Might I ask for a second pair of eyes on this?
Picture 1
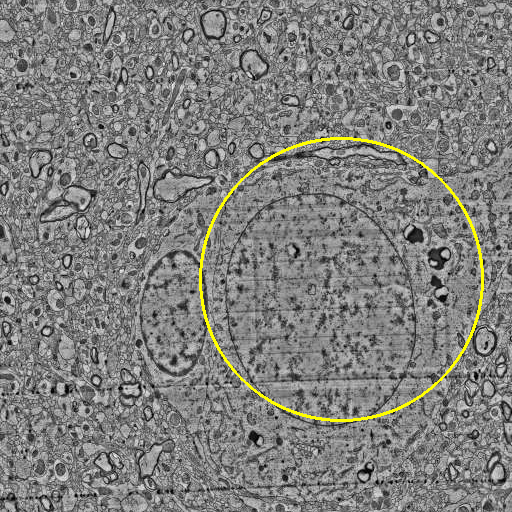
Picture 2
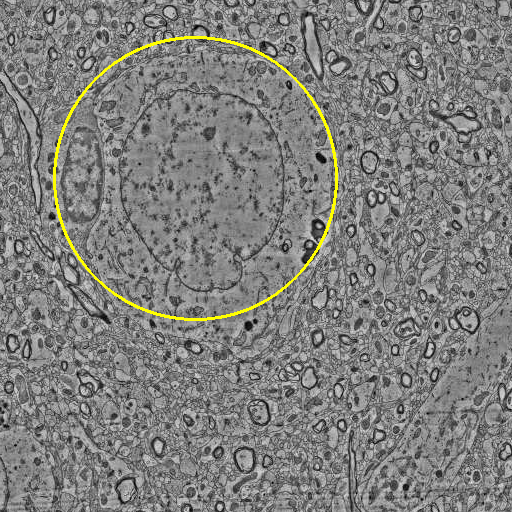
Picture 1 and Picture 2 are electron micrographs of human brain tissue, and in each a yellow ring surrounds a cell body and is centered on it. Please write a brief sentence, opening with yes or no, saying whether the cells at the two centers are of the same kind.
Yes, the cells are of the same kind.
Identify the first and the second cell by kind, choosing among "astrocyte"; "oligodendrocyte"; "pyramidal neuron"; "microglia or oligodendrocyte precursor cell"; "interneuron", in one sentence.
Each cell at the centre of a ring is a pyramidal neuron.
